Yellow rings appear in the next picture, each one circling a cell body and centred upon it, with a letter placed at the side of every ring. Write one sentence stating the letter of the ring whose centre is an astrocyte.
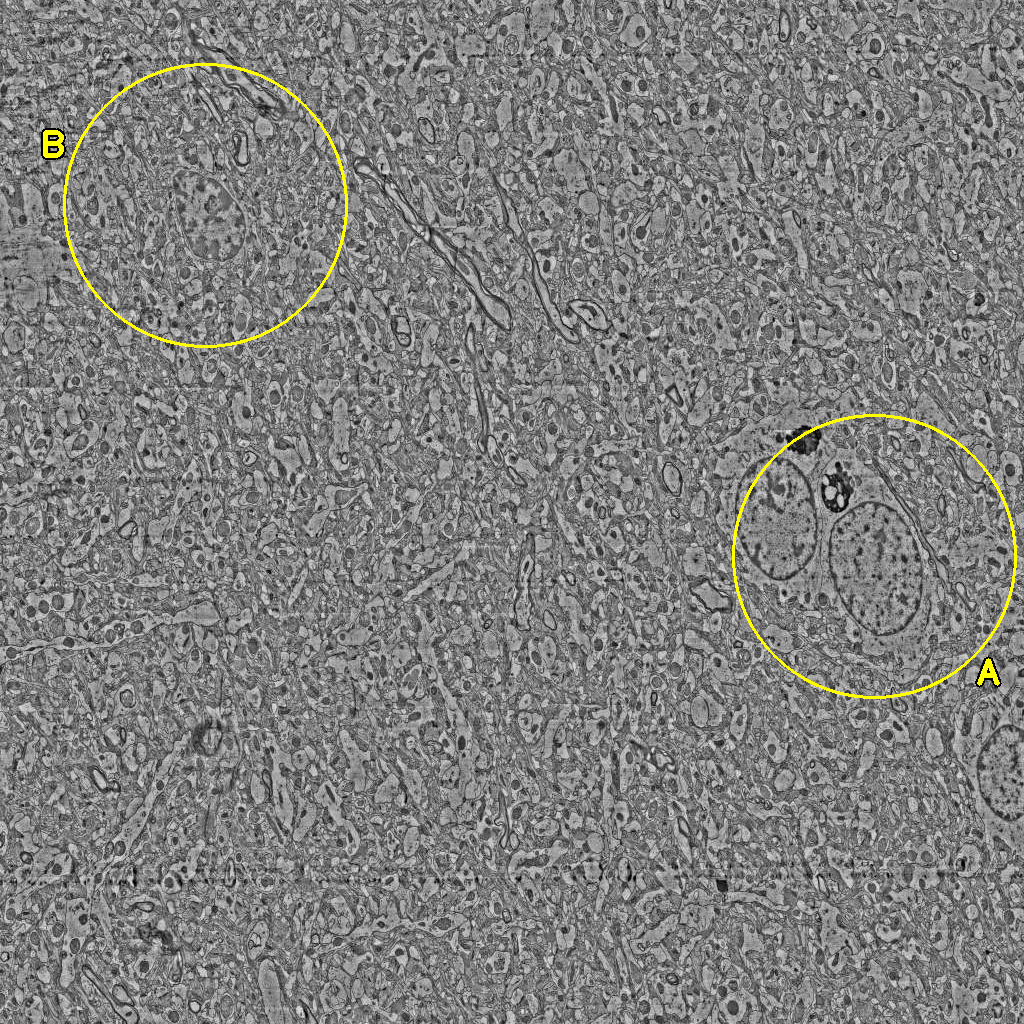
In the picture, the cell asked for lies at the centre of ring A.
